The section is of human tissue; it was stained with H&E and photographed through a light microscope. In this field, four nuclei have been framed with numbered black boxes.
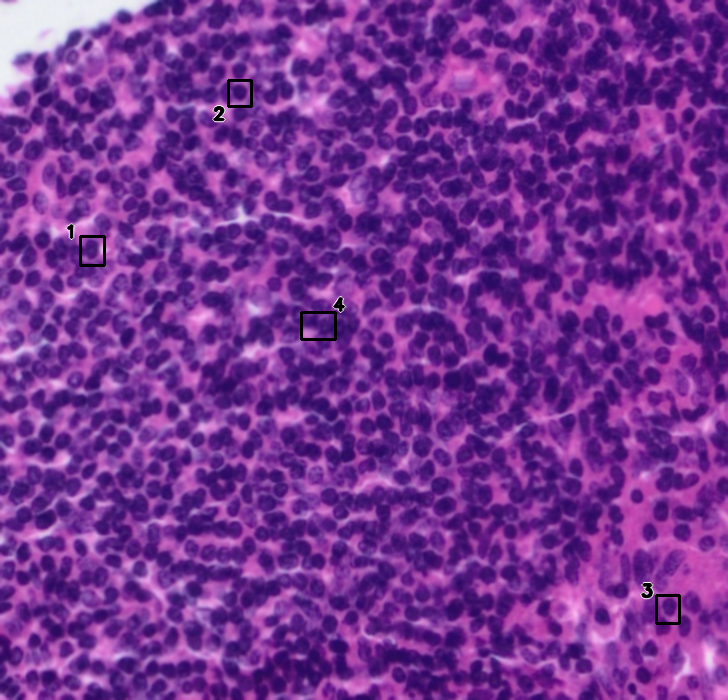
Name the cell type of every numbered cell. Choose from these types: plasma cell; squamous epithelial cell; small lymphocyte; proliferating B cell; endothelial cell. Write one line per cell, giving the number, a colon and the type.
1: small lymphocyte
2: small lymphocyte
3: plasma cell
4: small lymphocyte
